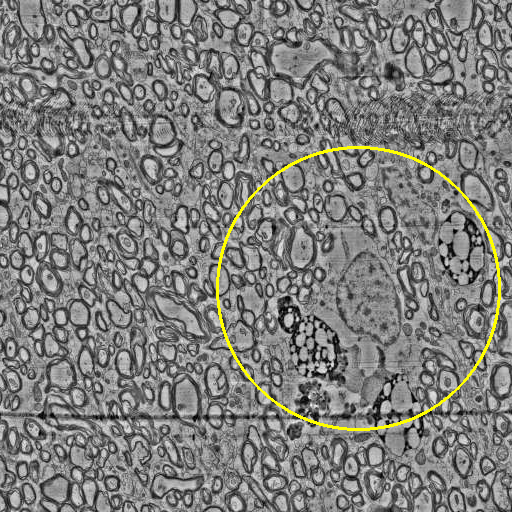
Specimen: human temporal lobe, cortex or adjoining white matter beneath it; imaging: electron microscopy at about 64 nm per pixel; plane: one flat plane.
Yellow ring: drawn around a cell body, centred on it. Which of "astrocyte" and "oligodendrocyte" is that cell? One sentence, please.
That cell body is from an astrocyte.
